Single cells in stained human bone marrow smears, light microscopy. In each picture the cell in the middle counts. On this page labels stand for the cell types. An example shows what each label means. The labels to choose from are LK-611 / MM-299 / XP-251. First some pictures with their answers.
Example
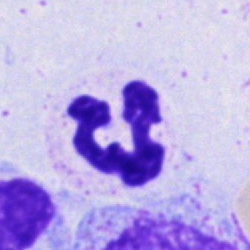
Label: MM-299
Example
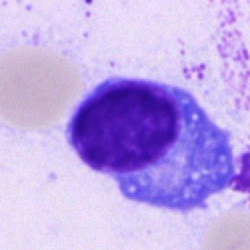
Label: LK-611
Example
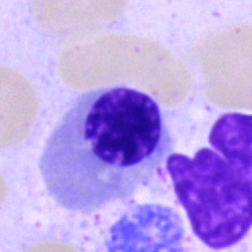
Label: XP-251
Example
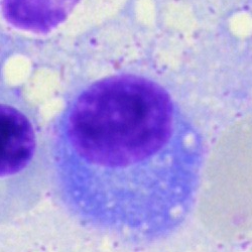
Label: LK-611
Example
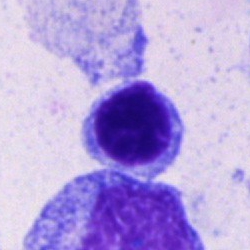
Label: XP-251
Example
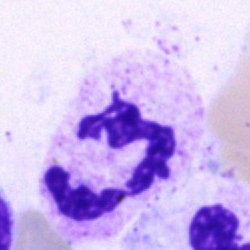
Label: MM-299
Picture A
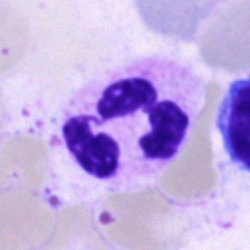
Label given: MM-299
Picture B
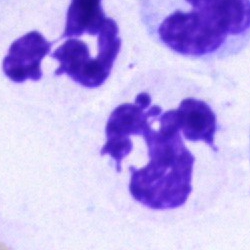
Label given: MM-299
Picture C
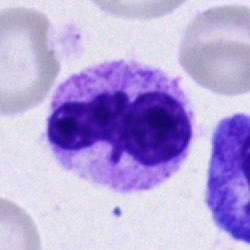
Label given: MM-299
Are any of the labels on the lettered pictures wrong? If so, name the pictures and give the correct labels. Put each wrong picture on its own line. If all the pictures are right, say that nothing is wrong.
All labels are correct.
